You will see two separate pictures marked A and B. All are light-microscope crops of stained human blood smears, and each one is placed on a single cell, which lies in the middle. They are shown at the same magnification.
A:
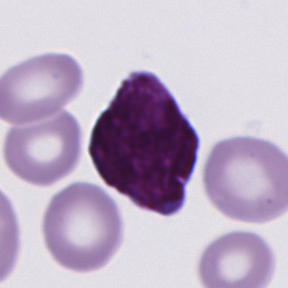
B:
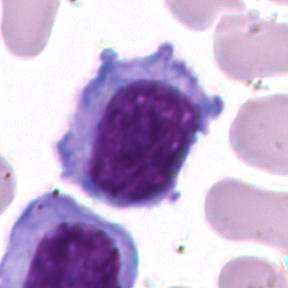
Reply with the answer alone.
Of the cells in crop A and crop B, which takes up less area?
A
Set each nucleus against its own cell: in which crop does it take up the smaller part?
B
